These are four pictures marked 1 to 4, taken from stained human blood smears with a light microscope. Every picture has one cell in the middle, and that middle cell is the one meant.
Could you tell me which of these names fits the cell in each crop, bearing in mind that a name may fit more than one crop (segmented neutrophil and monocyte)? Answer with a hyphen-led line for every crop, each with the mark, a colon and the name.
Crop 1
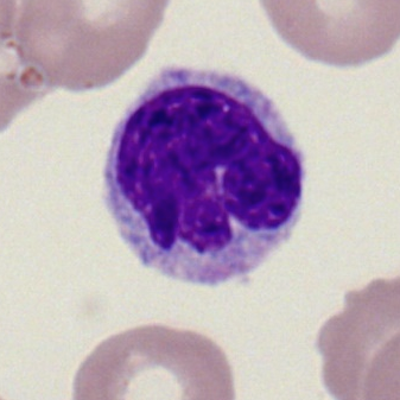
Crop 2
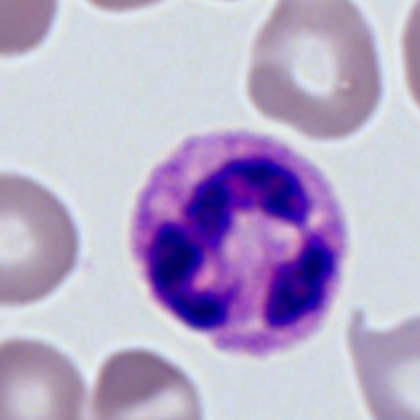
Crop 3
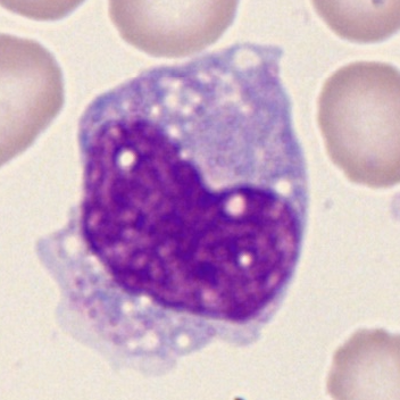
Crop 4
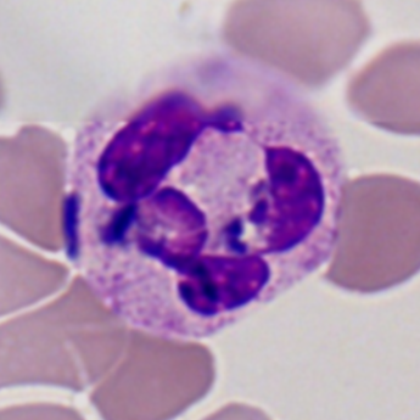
- 1: monocyte
- 2: segmented neutrophil
- 3: monocyte
- 4: segmented neutrophil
